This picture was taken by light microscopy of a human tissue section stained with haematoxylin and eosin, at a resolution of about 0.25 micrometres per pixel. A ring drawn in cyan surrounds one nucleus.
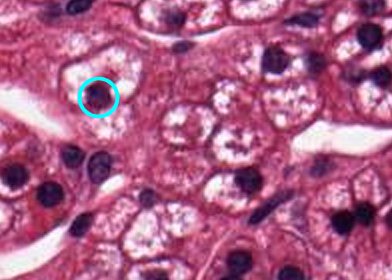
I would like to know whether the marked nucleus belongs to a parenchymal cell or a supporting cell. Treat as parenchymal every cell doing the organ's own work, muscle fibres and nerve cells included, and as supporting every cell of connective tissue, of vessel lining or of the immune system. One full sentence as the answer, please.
The marked nucleus has as its cell a parenchymal cell, namely an adrenal cortical cell.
